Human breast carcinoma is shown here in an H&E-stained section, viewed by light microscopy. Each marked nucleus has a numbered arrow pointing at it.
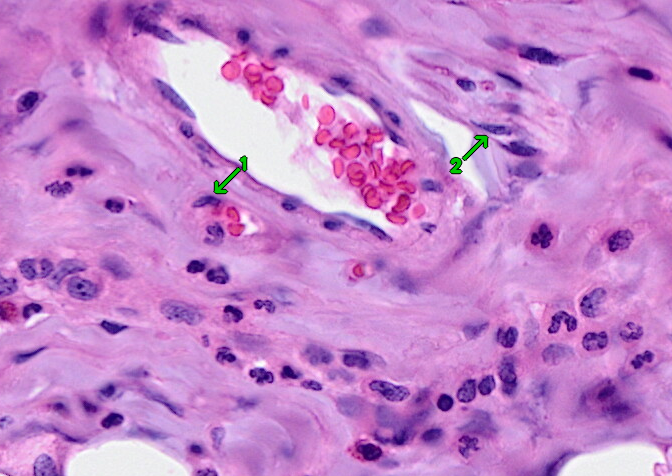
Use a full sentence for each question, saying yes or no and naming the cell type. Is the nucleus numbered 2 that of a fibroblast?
Yes, of the numbered cells, number 2 is a fibroblast.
